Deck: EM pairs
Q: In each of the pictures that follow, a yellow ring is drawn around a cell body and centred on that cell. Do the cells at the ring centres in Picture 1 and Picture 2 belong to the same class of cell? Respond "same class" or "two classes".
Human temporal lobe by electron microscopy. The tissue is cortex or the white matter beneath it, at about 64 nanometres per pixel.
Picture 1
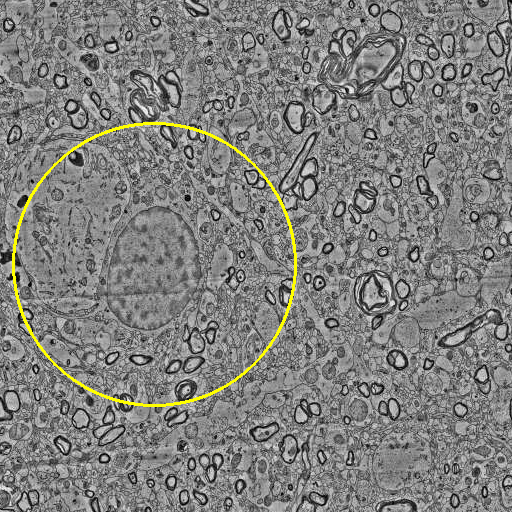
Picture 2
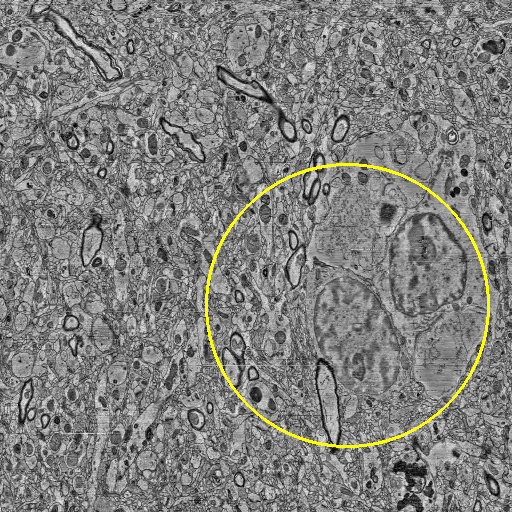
same class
